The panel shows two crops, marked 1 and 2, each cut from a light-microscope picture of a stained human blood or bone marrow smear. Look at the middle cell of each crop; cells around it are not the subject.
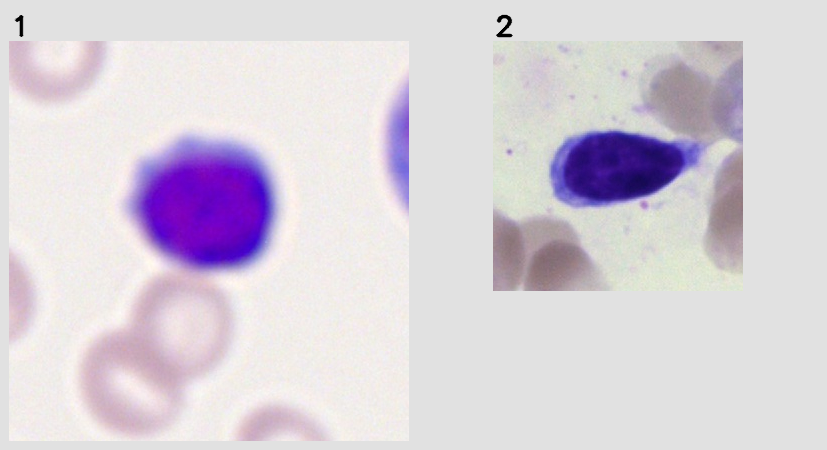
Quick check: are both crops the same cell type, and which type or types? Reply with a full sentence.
Yes, both crops show a cell each, and these are lymphocytes.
